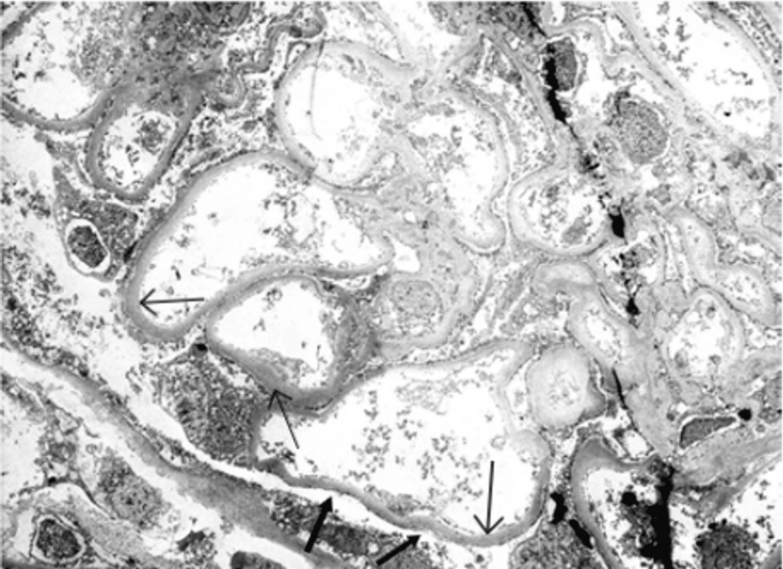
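This transmission electron micrograph shows glomerular capillary loops with their basement membrane. The capillary lumina are wide and mostly pale, containing scattered fine granular material. Each loop is bounded by a uniform, moderately dark gray band of even texture with a smooth outer contour. Along parts of the outer surface the covering epithelial cytoplasm forms a continuous layer over the membrane rather than separated small processes. Cell bodies with granular nuclei lie between the loops.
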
